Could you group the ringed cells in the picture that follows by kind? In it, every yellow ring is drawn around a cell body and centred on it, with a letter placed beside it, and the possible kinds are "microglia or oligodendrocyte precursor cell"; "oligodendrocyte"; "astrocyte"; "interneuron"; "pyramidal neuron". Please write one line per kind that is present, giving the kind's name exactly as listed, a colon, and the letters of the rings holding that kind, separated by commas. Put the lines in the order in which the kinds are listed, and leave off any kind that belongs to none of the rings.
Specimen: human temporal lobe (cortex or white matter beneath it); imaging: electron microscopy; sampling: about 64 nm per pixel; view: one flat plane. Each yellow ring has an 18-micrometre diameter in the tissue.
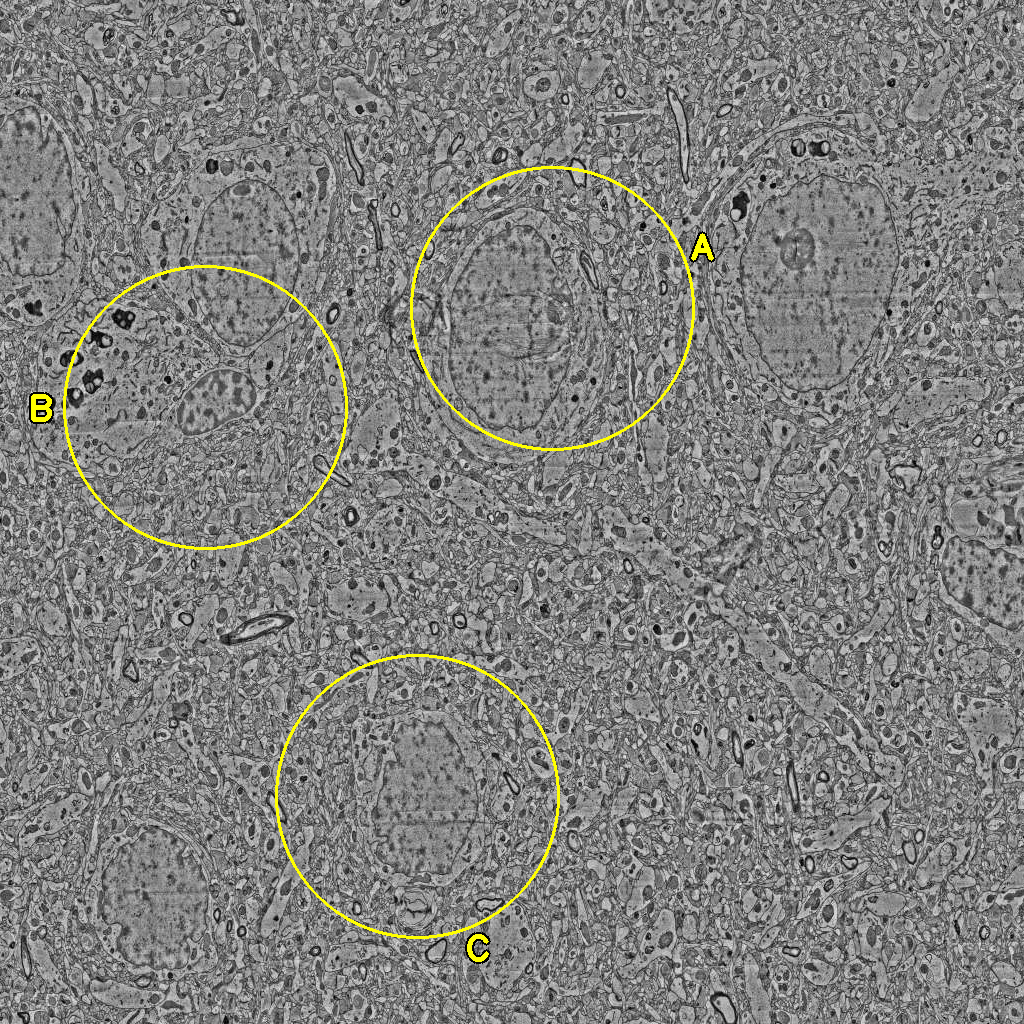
microglia or oligodendrocyte precursor cell: B
interneuron: A, C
